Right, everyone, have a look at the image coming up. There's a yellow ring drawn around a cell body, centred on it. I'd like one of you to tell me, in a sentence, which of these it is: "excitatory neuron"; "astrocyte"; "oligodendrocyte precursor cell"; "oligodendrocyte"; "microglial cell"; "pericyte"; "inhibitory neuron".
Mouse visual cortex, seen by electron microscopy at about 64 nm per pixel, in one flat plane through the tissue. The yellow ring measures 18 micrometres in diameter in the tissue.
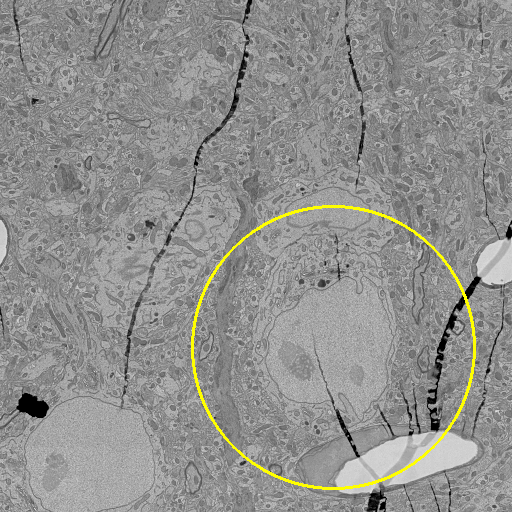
The yellow ring sits on an inhibitory neuron.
